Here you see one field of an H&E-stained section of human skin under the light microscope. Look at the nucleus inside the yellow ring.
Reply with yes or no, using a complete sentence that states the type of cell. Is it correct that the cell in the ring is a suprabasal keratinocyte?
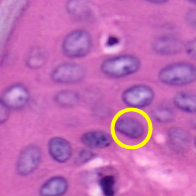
No, within this section, the cell in the ring is categorized as a basal keratinocyte rather than a suprabasal keratinocyte.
